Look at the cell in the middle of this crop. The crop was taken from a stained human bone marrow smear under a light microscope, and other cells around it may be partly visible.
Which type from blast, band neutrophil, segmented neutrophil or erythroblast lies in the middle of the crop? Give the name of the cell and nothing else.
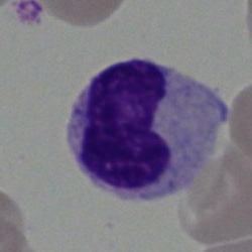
band neutrophil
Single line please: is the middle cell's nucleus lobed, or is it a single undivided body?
What stands out is a nucleus forming one compact round, oval or kidney-shaped mass.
